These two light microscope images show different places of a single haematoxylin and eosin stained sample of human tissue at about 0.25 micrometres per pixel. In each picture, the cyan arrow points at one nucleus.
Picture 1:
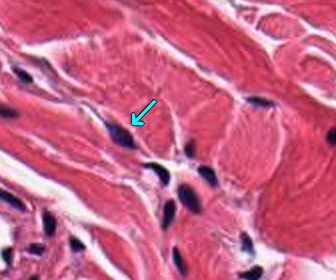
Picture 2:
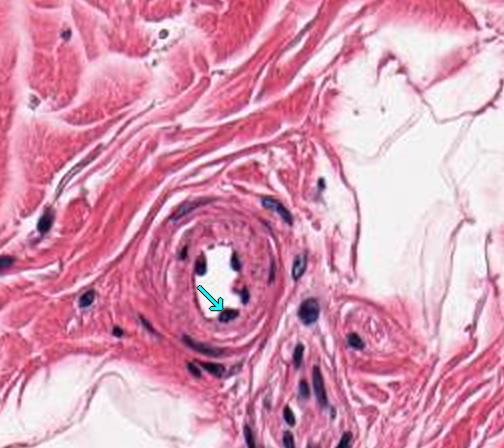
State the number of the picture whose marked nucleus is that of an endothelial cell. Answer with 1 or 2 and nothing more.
2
